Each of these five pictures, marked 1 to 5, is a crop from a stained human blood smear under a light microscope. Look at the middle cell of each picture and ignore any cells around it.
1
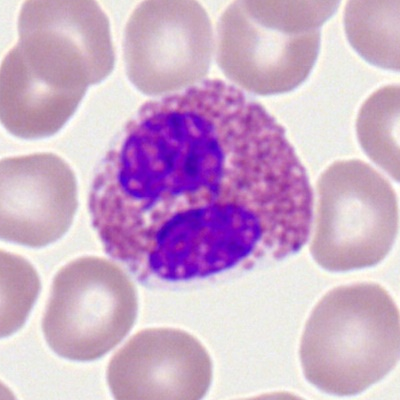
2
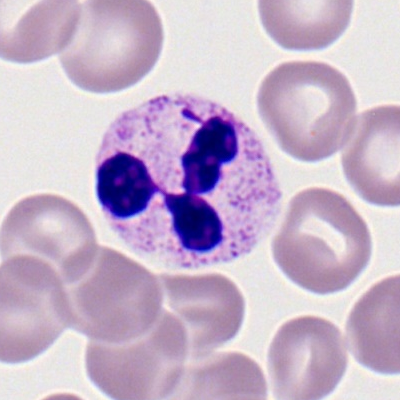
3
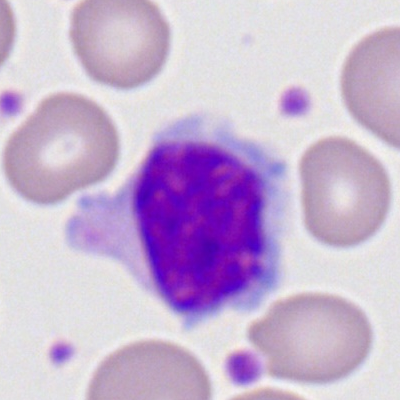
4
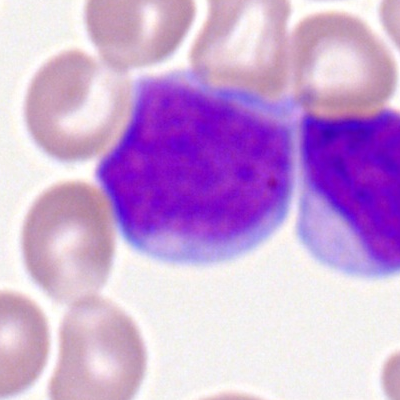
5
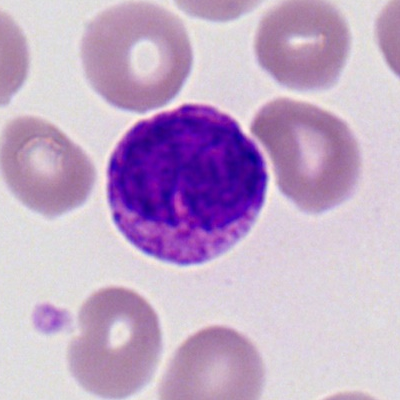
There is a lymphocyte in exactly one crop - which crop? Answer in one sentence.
The requested cell, a lymphocyte, is the one in crop 3.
